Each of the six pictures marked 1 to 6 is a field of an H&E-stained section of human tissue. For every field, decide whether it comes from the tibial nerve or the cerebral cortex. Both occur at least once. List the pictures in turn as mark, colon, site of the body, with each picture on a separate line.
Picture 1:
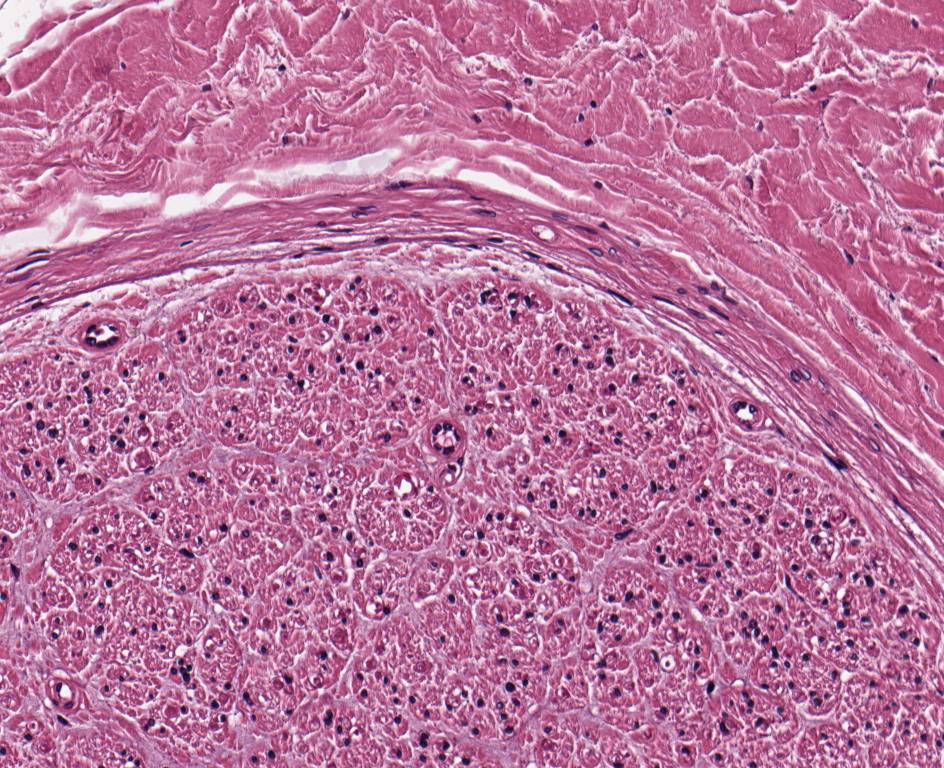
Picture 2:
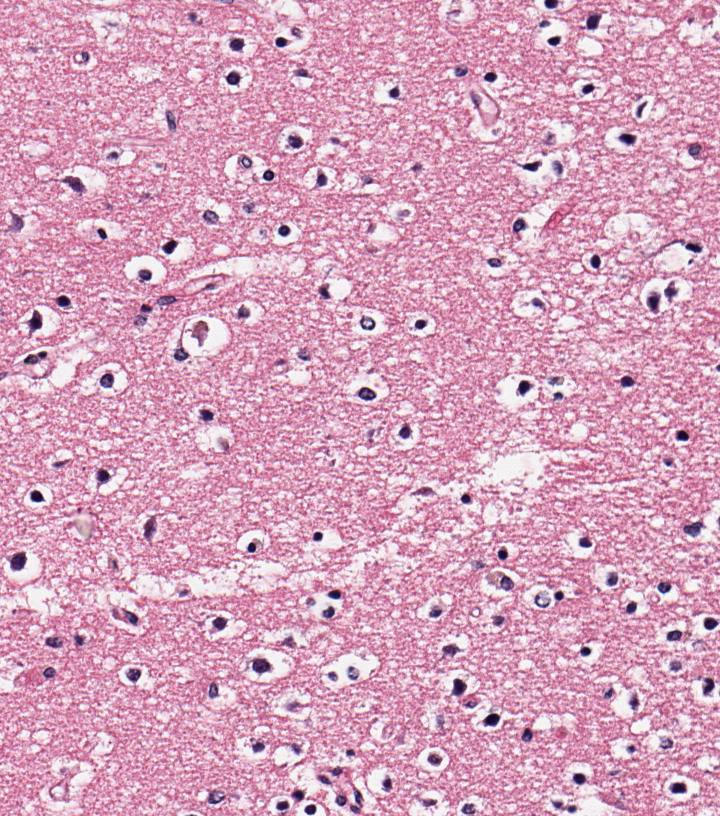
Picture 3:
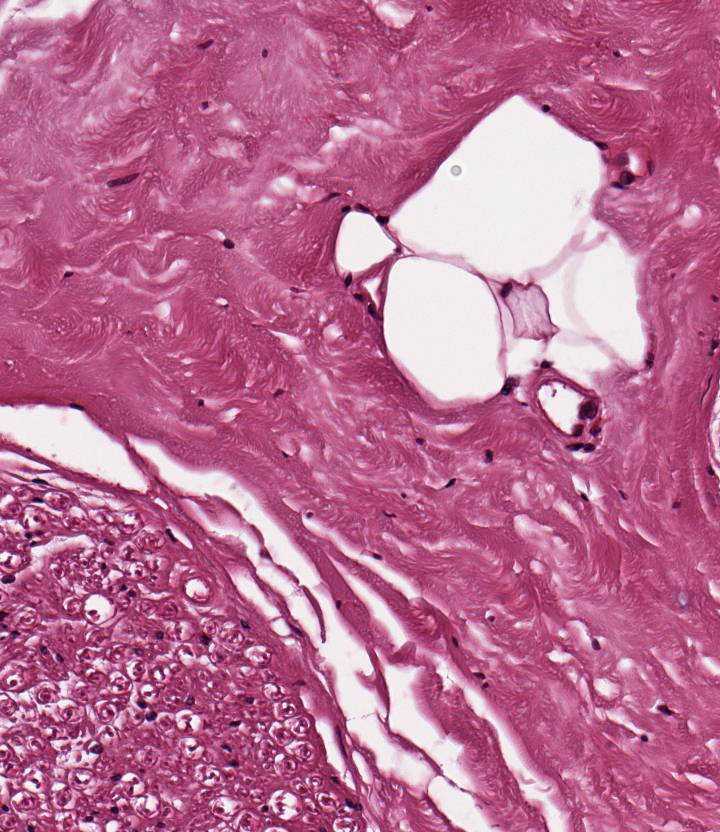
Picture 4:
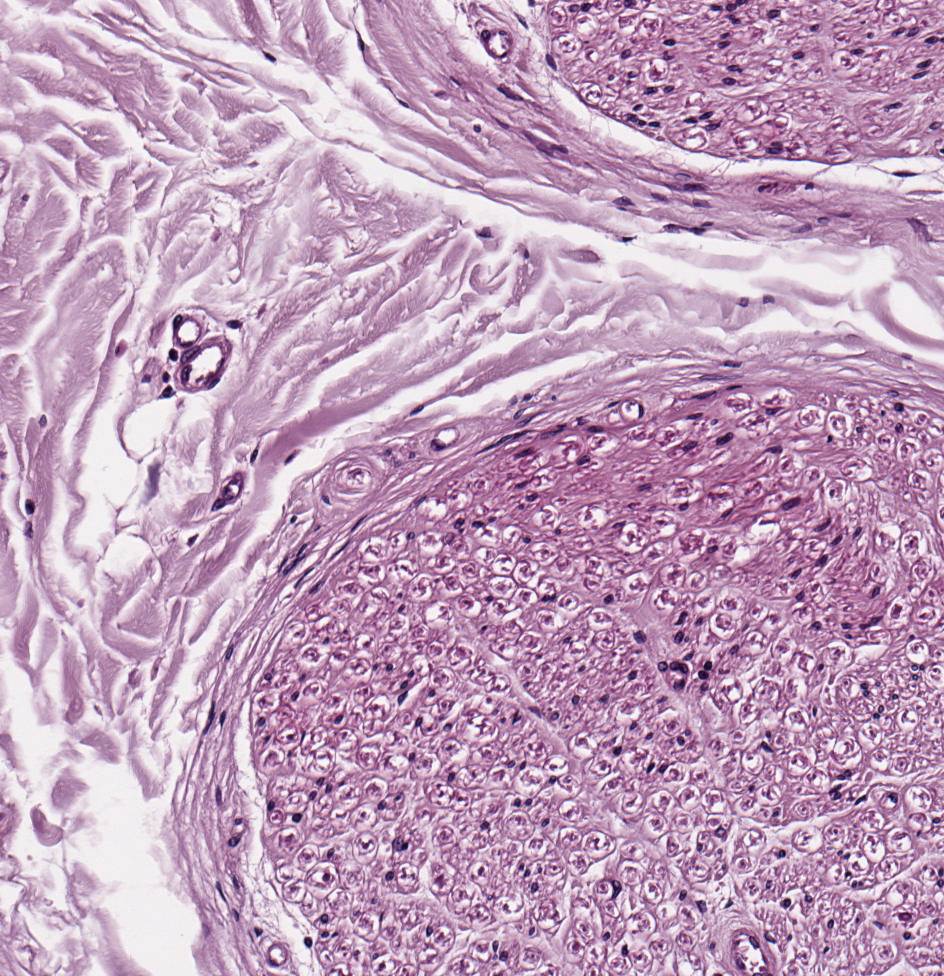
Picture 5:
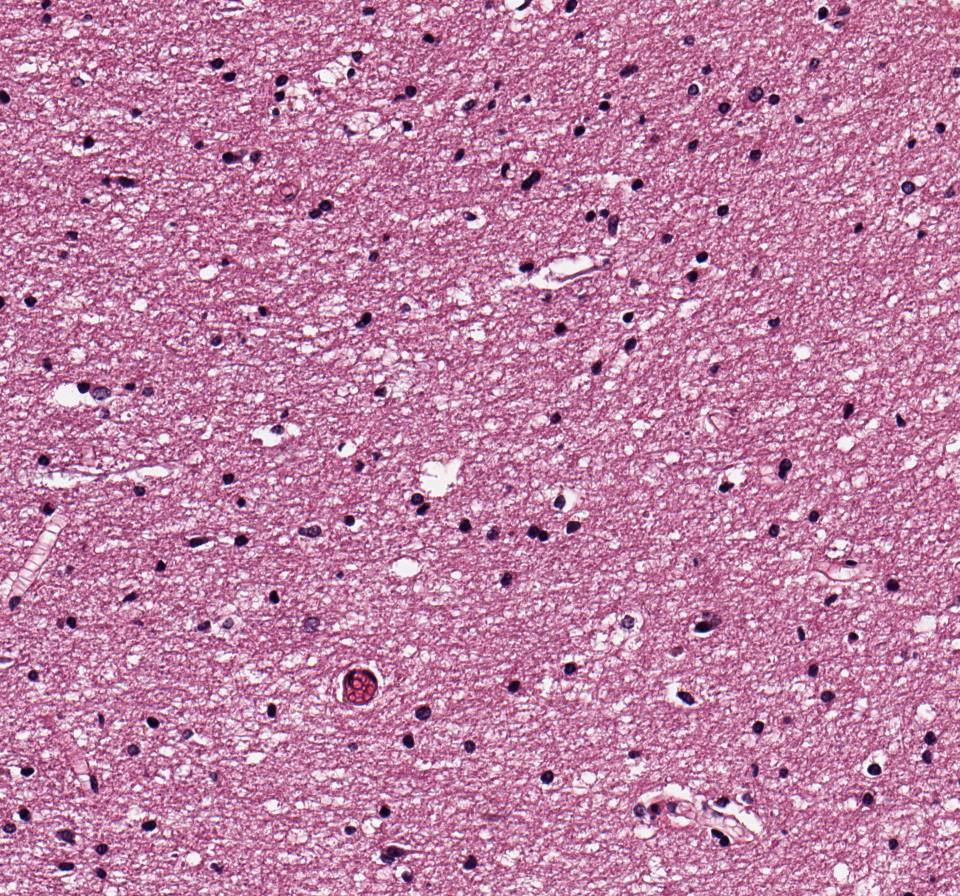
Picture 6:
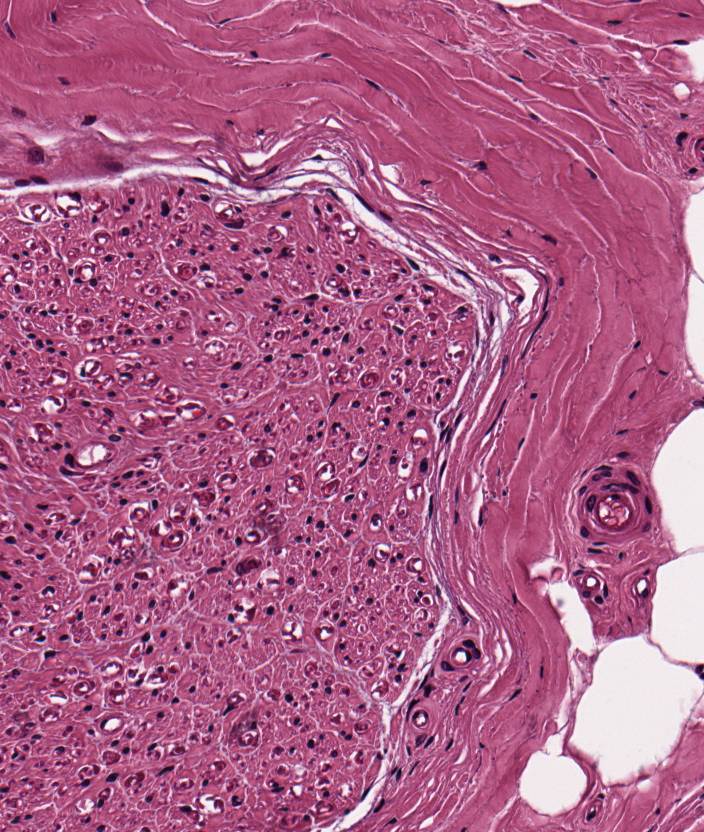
1: tibial nerve
2: cerebral cortex
3: tibial nerve
4: tibial nerve
5: cerebral cortex
6: tibial nerve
